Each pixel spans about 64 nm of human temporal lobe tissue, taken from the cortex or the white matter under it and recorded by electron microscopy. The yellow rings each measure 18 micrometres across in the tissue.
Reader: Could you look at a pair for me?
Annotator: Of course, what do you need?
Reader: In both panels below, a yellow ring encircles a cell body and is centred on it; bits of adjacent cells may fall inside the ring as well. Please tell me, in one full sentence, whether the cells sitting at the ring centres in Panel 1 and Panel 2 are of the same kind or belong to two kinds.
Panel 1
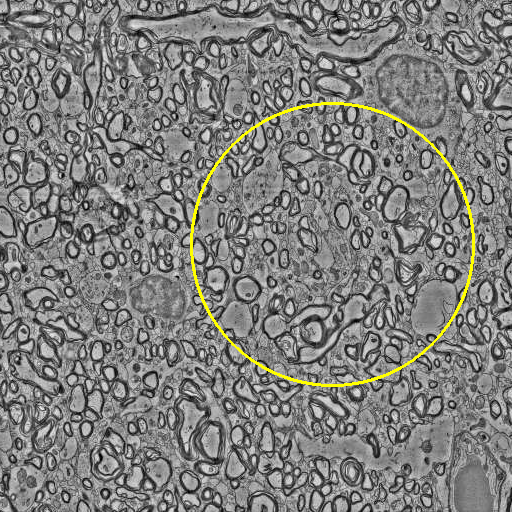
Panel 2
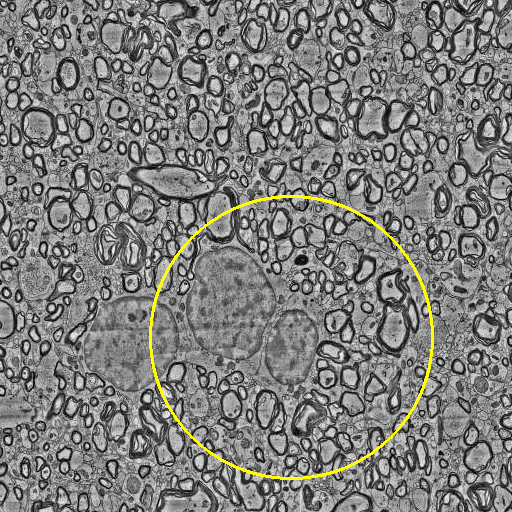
The cell at the ring's centre in Panel 1 and the one in Panel 2 are of the same kind.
